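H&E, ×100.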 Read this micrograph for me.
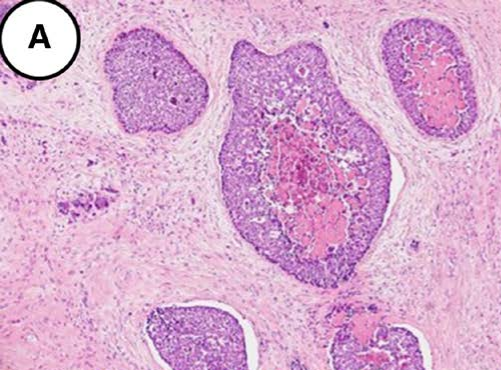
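Several rounded nests of tumor cells lie scattered in a background of pale pink fibrous stroma. Each nest has a crowded rim of purple-staining cells with dark nuclei, and many contain a central zone of pink, largely acellular material representing necrosis, most conspicuous in the largest nest in the middle of the field. The nests are sharply separated from the surrounding stroma, and some are surrounded by a narrow clear space. The stroma contains scattered spindle-shaped nuclei and small clusters of cells between the nests.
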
